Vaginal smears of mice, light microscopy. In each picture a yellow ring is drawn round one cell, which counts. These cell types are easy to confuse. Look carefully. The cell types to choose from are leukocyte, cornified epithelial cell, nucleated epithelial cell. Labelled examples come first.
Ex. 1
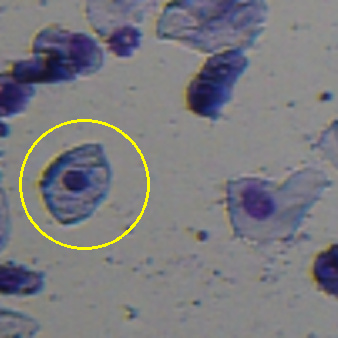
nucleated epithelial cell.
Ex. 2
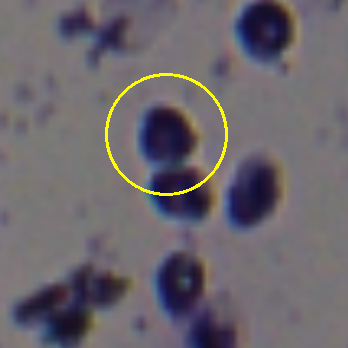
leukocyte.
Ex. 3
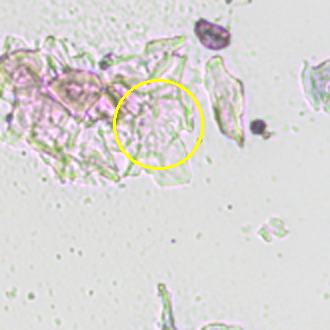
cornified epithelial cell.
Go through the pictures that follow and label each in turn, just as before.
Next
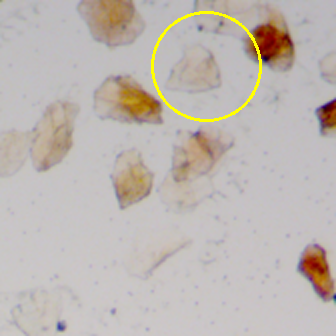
cornified epithelial cell.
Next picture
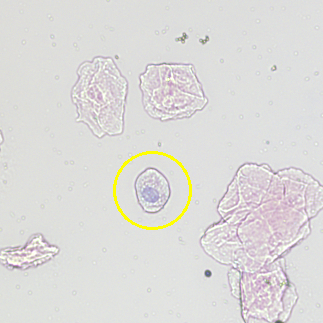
nucleated epithelial cell.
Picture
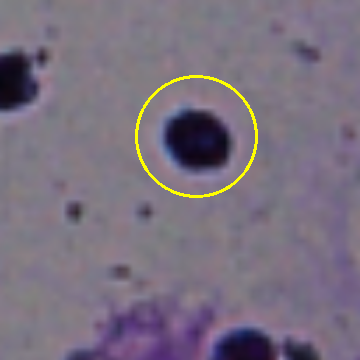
leukocyte.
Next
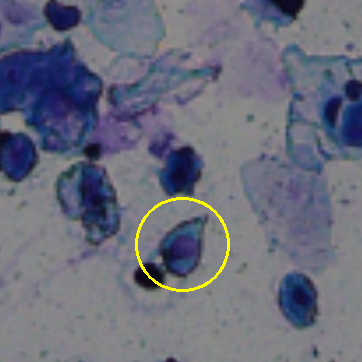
nucleated epithelial cell.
